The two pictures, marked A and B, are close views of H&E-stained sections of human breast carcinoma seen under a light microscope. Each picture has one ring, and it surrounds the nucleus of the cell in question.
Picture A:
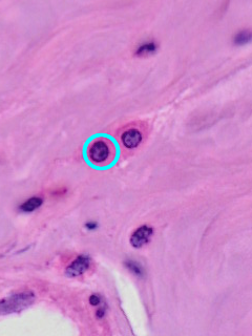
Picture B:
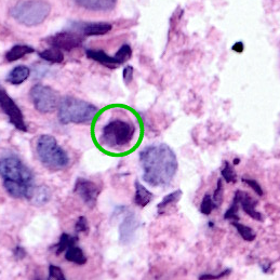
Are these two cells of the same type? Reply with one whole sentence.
No, the types are not the same, since picture A shows a mast cell and picture B a carcinoma cell.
